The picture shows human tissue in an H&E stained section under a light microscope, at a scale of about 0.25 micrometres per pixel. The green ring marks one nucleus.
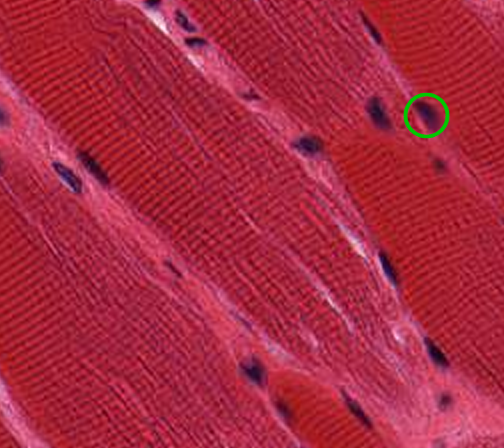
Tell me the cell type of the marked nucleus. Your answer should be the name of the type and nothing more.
skeletal muscle fibre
